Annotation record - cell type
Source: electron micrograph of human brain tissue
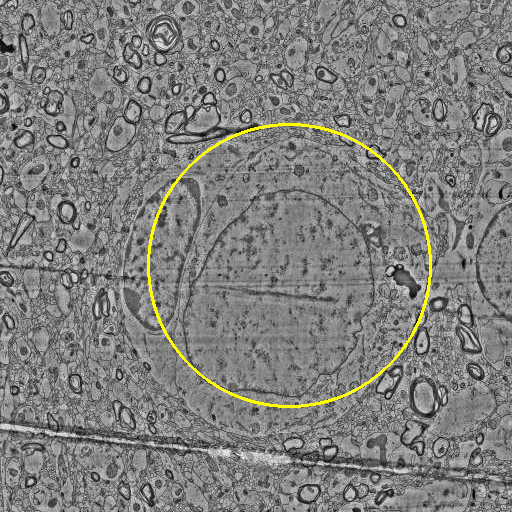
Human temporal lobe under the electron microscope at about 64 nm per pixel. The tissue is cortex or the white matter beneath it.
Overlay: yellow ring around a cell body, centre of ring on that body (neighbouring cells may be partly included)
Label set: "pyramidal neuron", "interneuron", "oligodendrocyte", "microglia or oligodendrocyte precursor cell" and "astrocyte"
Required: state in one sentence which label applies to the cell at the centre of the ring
This cell should be labelled as a pyramidal neuron.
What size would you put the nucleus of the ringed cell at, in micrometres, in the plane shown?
About 15 by 11 micrometers for the nucleus, in this plane.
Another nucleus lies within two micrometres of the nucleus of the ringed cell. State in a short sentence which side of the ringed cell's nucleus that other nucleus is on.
That other nucleus sits to the left of it.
